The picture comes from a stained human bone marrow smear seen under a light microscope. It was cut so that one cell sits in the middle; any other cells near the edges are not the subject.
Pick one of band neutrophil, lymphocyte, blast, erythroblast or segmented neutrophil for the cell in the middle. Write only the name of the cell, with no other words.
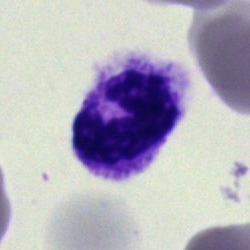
band neutrophil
